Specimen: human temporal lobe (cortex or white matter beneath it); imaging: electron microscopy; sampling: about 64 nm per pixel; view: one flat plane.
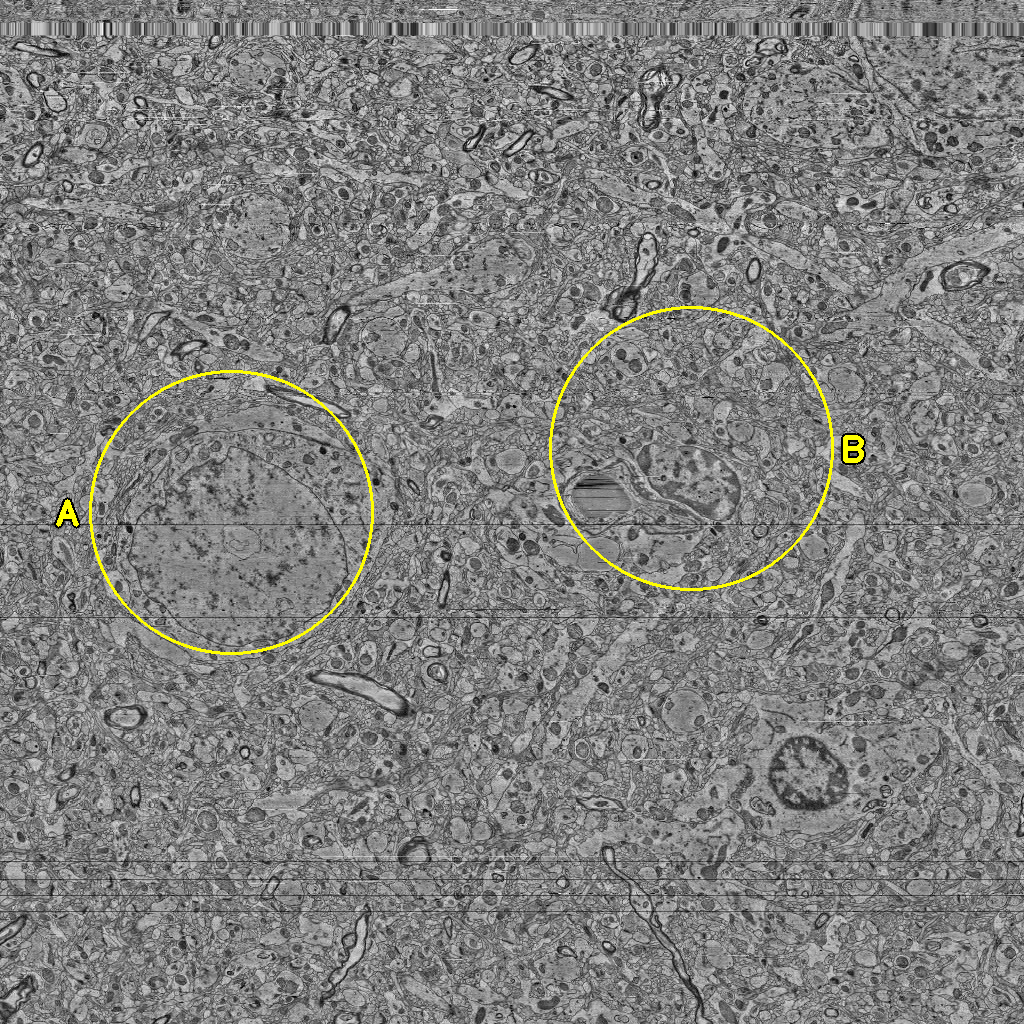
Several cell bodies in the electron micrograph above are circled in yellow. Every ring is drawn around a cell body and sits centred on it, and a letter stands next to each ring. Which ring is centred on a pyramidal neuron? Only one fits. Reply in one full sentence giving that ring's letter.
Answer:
The ring centred on the cell asked for is Ring A.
